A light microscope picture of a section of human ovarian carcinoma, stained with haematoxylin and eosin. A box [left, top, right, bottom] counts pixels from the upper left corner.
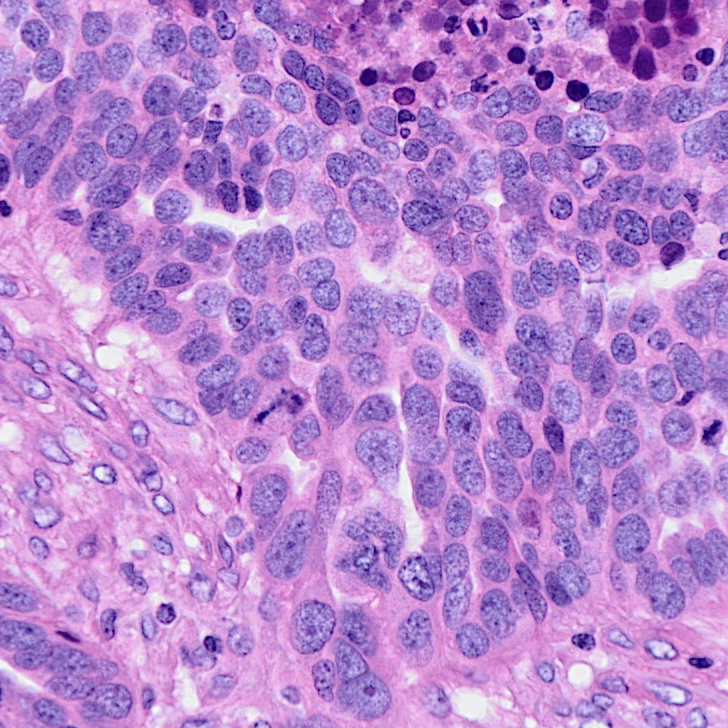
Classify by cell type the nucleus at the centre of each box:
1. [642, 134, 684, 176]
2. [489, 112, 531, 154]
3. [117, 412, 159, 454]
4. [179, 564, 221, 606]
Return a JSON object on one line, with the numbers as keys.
{"1": "carcinoma cell", "2": "carcinoma cell", "3": "fibroblast", "4": "fibroblast"}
